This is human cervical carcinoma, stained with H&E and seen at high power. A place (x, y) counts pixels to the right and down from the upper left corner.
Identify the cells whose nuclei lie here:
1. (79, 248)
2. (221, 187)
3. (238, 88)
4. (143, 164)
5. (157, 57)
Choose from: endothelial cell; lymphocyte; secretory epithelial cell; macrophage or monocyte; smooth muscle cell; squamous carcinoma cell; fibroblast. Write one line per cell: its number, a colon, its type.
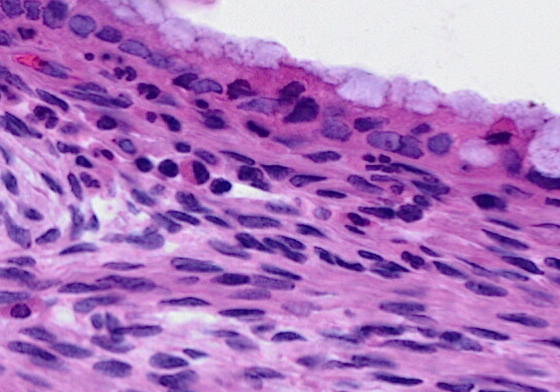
1: fibroblast
2: lymphocyte
3: secretory epithelial cell
4: lymphocyte
5: secretory epithelial cell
